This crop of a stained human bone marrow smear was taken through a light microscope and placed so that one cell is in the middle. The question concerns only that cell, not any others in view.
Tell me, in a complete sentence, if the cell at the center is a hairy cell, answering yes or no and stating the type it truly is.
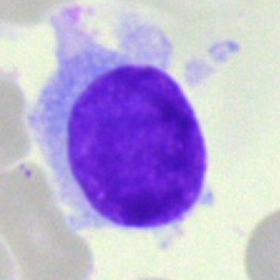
Yes, the middle cell in this crop is a hairy cell.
